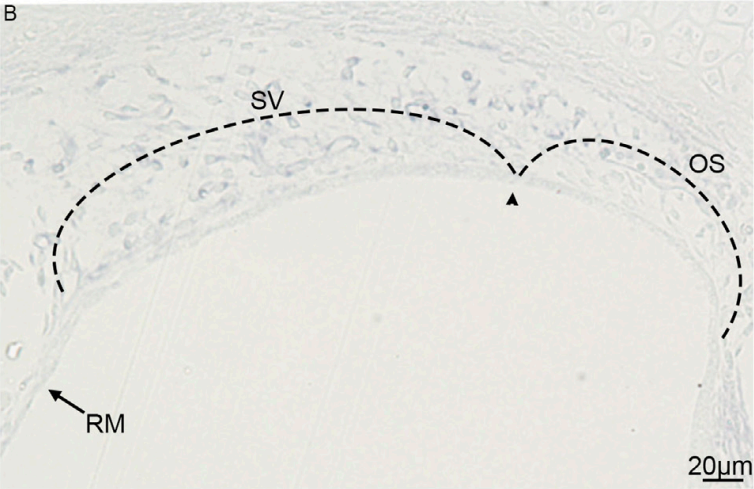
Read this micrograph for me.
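This shows the lateral wall of a cochlear duct that is widely distended into a large rounded lumen. Above the epithelium, the surrounding mesenchyme contains scattered, elongated and irregular cells with only faint blue-purple staining, spread loosely through a broad zone rather than gathered into a tight, evenly stained layer. The thin membrane leaves the wall at the lower left, and the tissue further out appears pale.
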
